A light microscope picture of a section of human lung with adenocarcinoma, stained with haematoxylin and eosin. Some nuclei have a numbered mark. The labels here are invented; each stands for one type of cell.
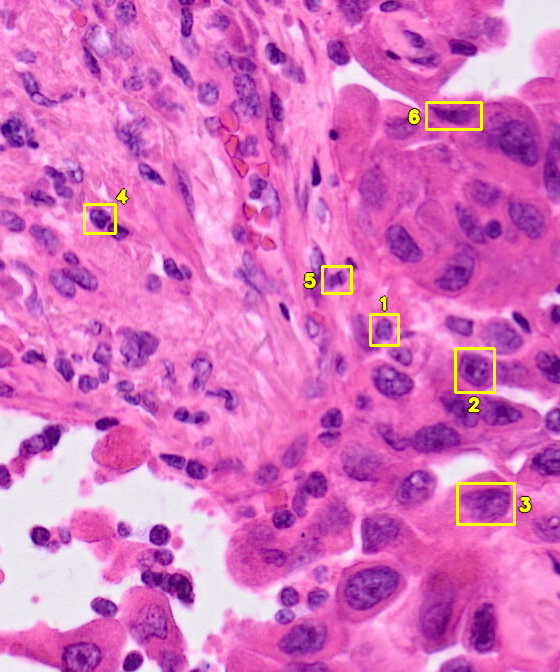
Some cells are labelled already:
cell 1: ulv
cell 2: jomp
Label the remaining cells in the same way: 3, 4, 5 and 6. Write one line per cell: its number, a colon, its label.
3: jomp
4: ulv
5: ulv
6: jomp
